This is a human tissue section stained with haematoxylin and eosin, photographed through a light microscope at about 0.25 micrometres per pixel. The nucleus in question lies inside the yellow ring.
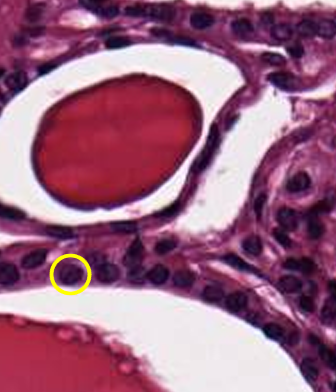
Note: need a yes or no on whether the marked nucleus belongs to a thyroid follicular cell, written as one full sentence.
Yes, the marked nucleus is the nucleus of a thyroid follicular cell.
